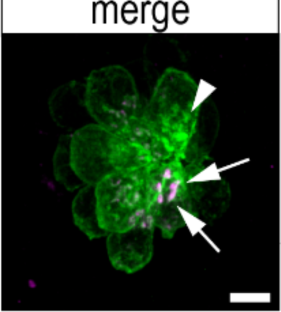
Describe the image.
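A lateral line organ seen from above, made of hair cells gathered in a rosette. The green cells are pear-shaped, with broad outer bodies and tapering ends converging on a bright green center where their apices meet. Cell outlines are clearly drawn by the green fluorescence. Small magenta puncta cluster near the center, within some of the cells just below their apices, and appear whitish where they overlap the green. Other cells of the rosette lack any magenta, so the puncta belong to only part of the group.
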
